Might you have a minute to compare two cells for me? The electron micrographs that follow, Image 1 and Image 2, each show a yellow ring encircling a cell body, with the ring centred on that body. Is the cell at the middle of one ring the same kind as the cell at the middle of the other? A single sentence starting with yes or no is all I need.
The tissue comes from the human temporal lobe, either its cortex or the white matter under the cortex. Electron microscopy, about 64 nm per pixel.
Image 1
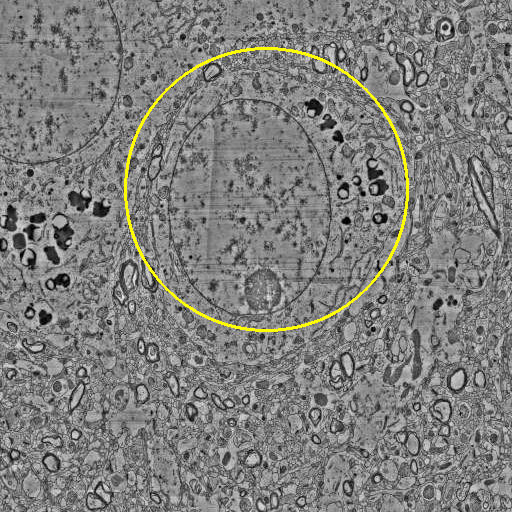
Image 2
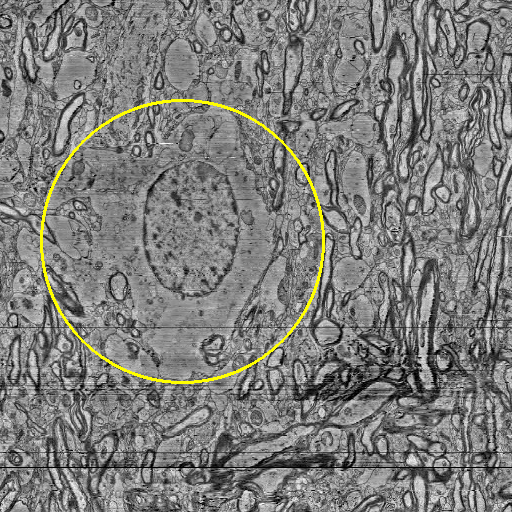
No, the cells in the middle of the two rings are of two separate kinds.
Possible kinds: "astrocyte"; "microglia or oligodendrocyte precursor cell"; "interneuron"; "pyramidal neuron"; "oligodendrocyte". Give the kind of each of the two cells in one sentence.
The cell in the second picture is an astrocyte, and that in the first is a pyramidal neuron.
